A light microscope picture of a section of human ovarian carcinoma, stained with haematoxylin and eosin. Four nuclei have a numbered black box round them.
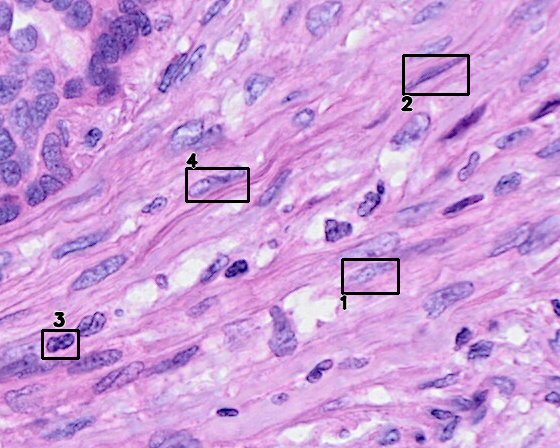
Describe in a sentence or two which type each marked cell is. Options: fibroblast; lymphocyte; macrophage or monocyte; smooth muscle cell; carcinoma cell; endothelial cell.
Cells 1, 2 and 4 are fibroblasts. Cell 3 is a lymphocyte.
